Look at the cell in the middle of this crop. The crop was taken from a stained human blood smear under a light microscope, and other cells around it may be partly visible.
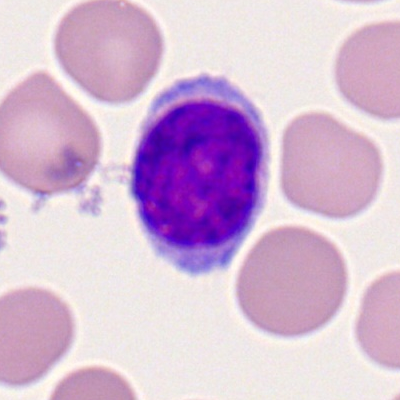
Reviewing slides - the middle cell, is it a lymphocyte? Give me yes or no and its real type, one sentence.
Yes, the centered cell in this field is a lymphocyte.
